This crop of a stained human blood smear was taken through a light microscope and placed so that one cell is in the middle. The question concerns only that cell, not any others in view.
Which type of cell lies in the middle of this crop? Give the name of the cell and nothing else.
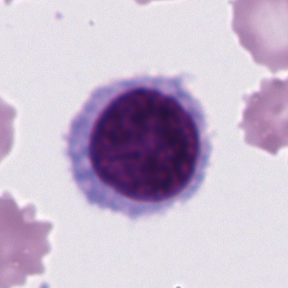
hairy cell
